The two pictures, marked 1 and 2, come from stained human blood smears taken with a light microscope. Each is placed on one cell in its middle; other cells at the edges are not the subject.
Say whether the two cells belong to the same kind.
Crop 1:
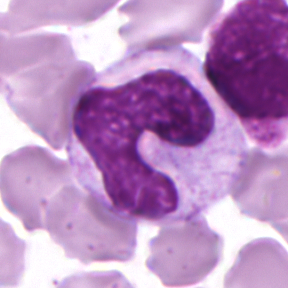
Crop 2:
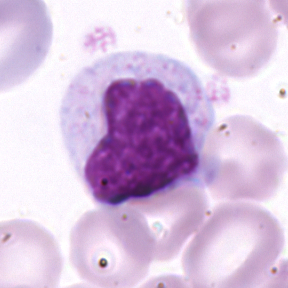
no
